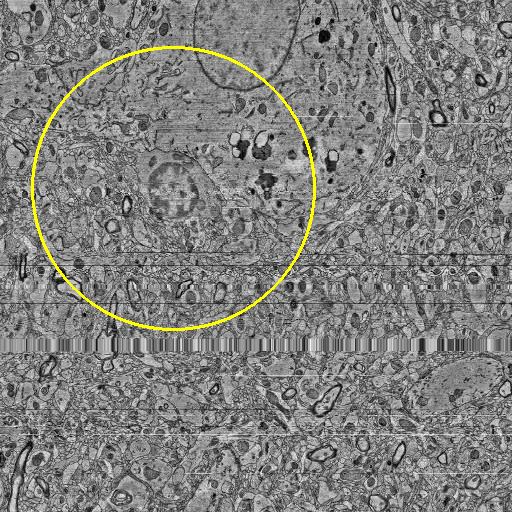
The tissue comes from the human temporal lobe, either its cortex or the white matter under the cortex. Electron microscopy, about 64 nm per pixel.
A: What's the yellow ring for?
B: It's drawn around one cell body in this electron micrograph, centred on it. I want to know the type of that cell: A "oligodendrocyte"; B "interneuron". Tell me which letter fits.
A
